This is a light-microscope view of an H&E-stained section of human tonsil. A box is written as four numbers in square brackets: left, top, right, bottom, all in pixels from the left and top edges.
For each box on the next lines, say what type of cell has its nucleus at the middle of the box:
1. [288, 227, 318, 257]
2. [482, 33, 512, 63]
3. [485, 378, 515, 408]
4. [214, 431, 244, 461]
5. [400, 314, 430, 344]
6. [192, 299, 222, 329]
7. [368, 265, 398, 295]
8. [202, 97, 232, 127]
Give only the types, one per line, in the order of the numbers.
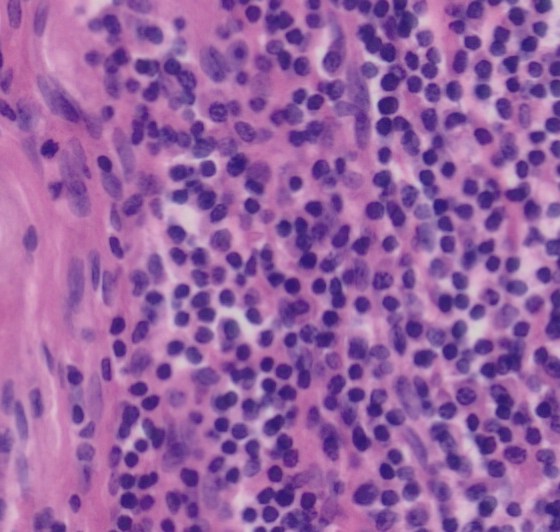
plasma cell
small lymphocyte
plasma cell
small lymphocyte
plasma cell
small lymphocyte
plasma cell
plasma cell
